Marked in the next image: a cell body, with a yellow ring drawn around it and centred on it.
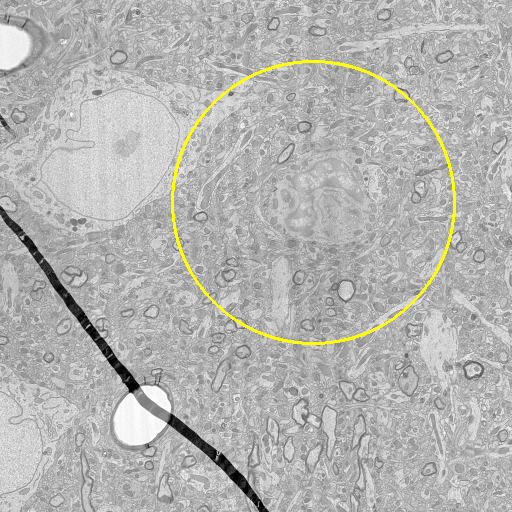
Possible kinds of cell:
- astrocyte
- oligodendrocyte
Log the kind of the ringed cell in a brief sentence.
The ringed cell body is that of an oligodendrocyte.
